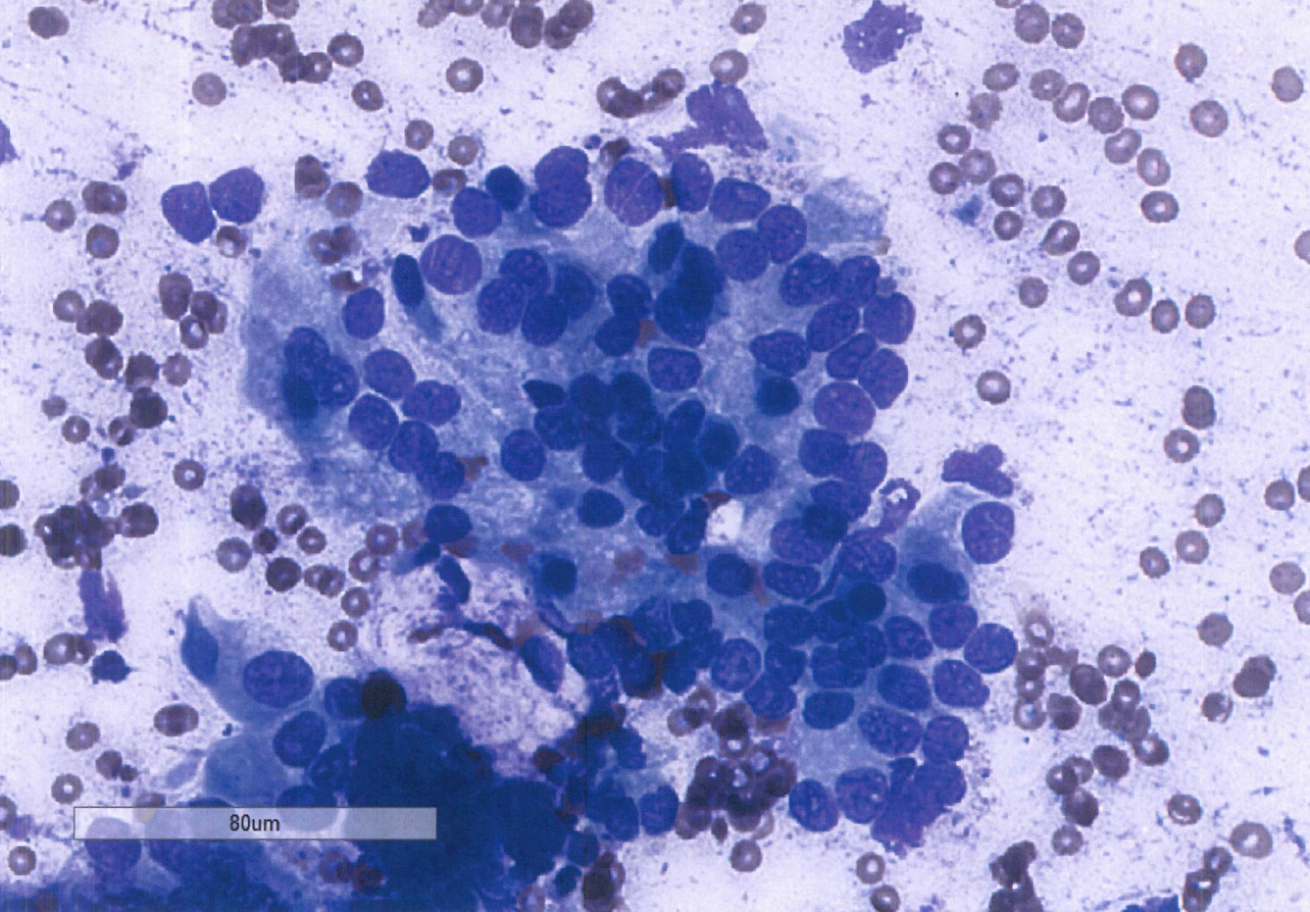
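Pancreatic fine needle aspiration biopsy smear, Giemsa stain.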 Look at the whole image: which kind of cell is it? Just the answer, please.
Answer: Clusters of malignant cells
